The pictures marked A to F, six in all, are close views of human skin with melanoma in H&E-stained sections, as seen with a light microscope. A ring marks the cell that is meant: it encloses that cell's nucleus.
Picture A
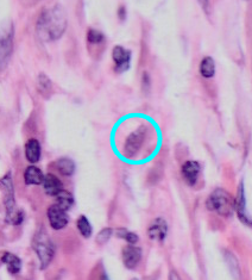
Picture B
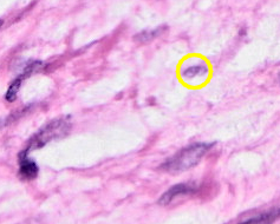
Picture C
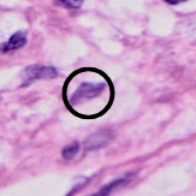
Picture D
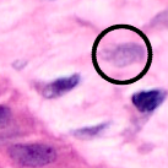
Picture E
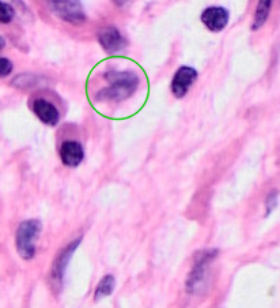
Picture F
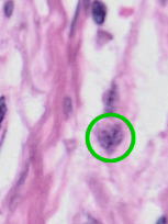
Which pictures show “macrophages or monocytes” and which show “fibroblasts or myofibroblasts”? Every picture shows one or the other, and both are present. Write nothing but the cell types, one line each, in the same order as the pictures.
macrophage or monocyte
fibroblast or myofibroblast
fibroblast or myofibroblast
fibroblast or myofibroblast
macrophage or monocyte
macrophage or monocyte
